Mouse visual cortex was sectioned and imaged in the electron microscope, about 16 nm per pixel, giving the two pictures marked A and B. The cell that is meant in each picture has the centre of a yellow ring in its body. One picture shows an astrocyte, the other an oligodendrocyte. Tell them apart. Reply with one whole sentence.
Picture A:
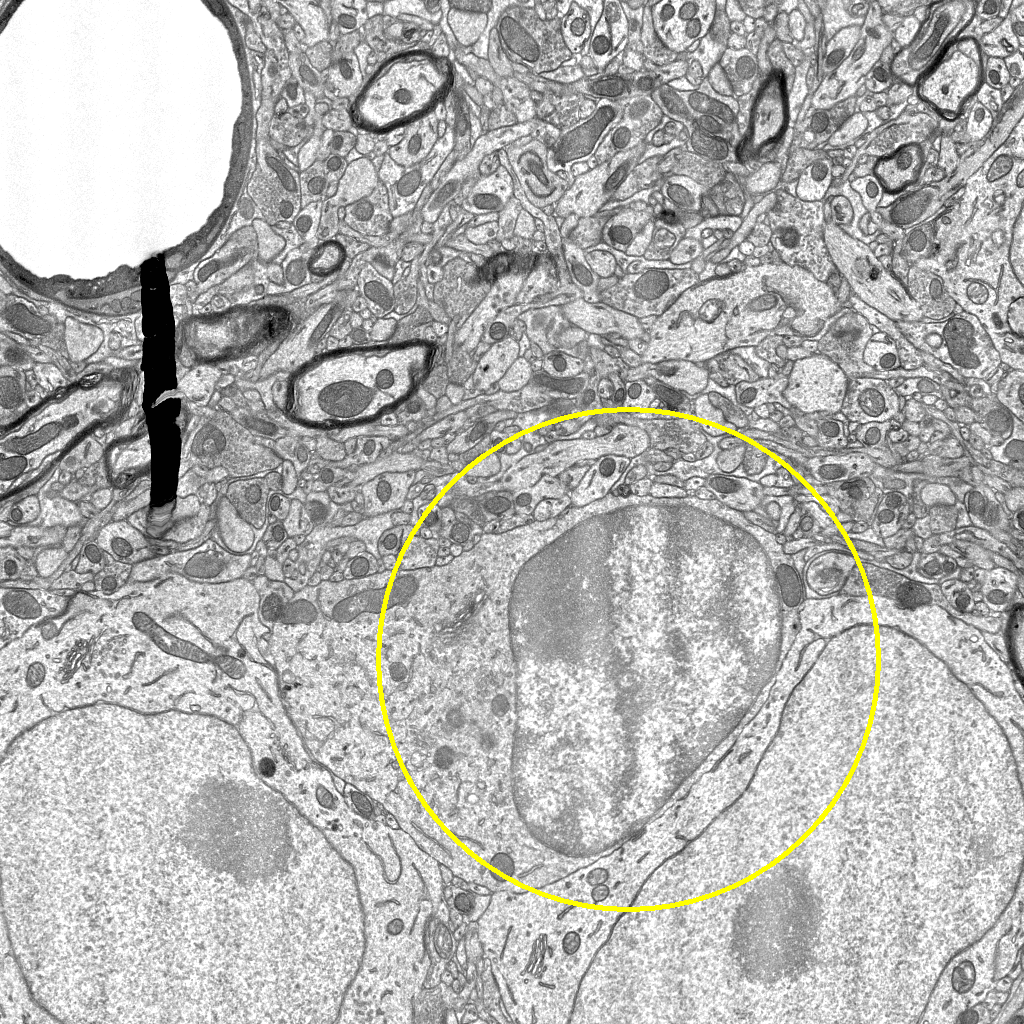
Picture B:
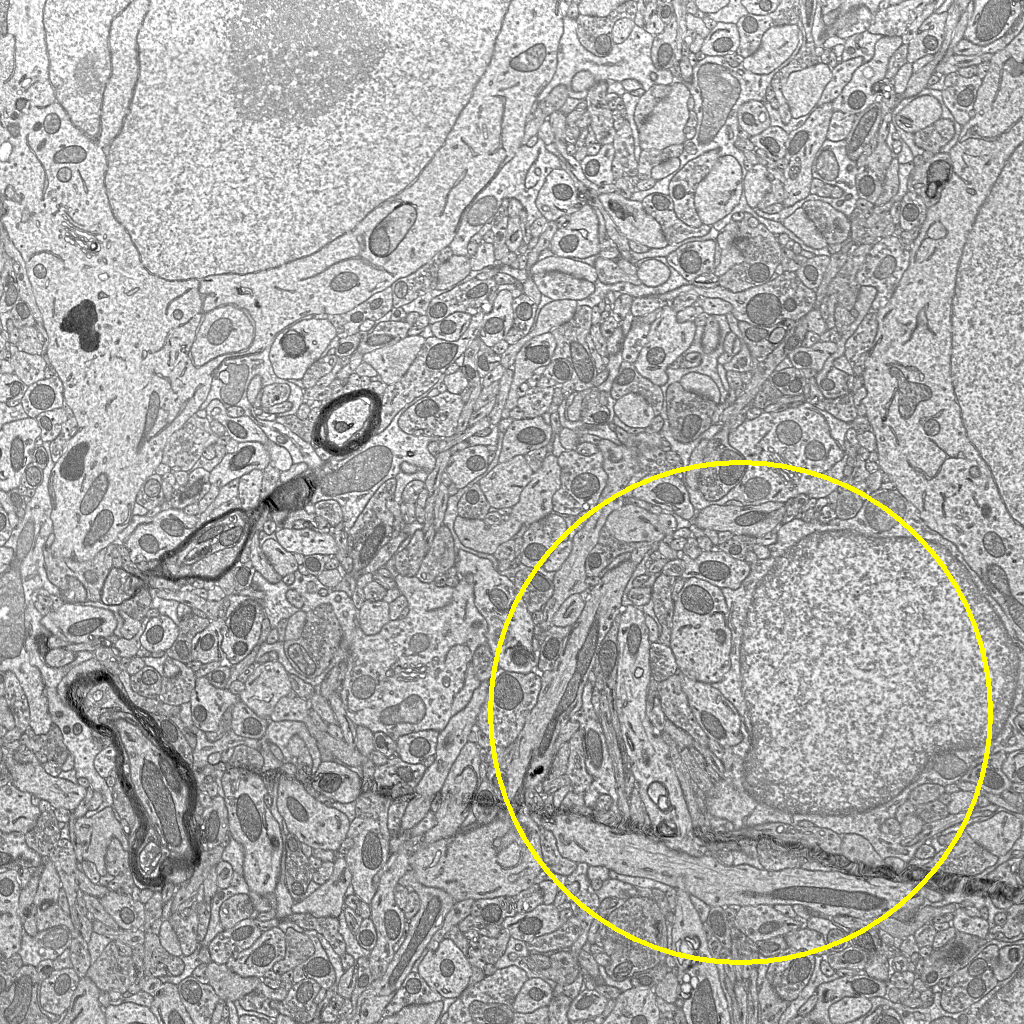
In picture A the cell is an oligodendrocyte; in picture B, an astrocyte.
